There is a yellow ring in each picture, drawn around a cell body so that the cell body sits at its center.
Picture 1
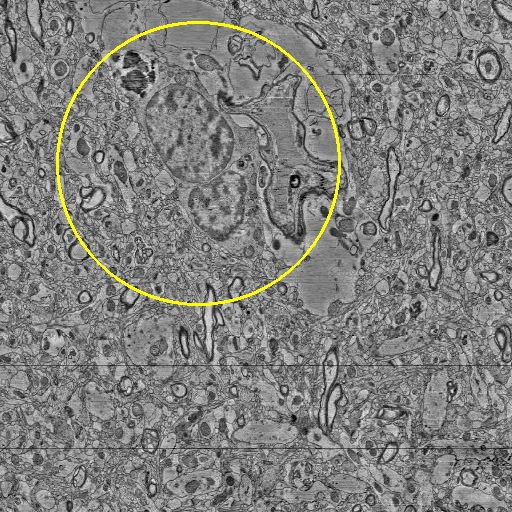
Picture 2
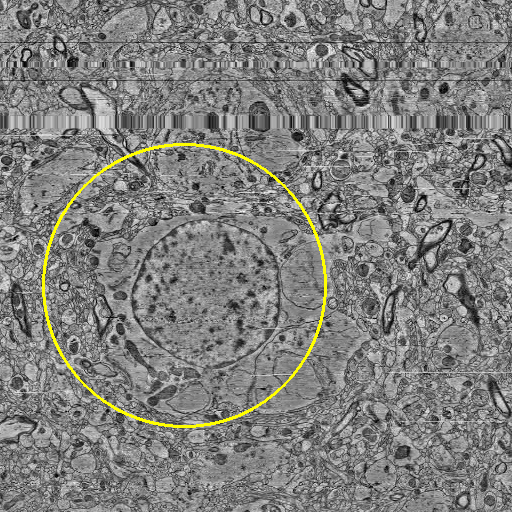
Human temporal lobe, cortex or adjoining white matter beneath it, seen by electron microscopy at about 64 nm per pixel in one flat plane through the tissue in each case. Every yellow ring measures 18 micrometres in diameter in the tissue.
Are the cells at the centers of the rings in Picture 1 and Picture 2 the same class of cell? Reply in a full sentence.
No, the two cells are two classes of cell.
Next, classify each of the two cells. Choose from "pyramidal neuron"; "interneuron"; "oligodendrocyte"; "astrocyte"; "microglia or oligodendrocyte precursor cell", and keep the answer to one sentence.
In the first picture it is an oligodendrocyte; in the second it is an astrocyte.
